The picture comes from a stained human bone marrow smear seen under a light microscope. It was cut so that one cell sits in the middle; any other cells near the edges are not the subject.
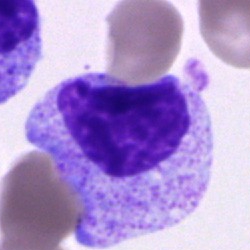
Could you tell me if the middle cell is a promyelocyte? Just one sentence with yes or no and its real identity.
No, the middle cell is not a promyelocyte, it being a myelocyte.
